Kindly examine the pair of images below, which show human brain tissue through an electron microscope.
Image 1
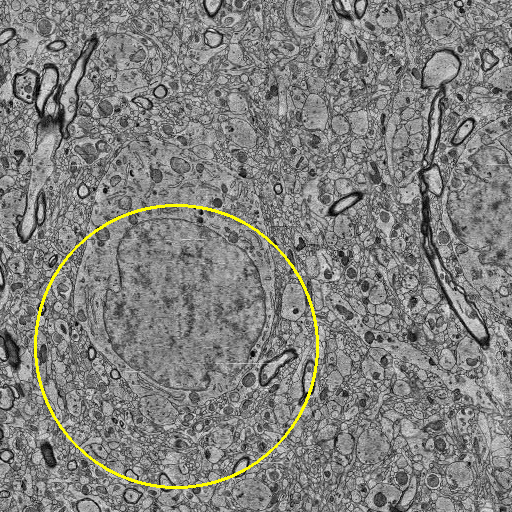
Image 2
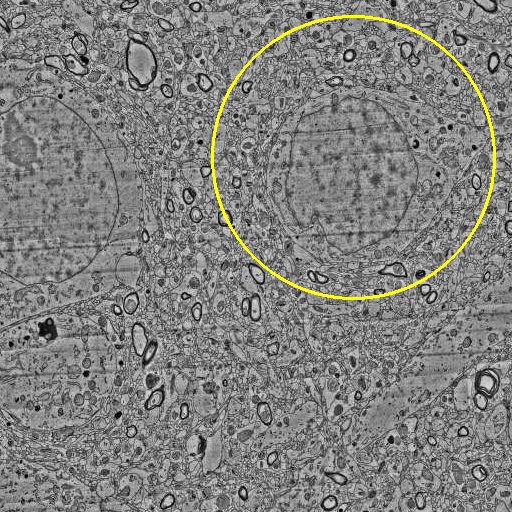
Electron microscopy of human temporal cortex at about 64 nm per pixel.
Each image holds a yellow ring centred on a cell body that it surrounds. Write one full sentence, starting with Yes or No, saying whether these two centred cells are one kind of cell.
Yes, both cells at the centres of the yellow rings belong to one kind of cell.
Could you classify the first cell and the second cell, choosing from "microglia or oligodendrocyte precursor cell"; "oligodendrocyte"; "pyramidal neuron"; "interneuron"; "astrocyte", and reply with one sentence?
Each of the ringed cells, first and second, is an interneuron.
